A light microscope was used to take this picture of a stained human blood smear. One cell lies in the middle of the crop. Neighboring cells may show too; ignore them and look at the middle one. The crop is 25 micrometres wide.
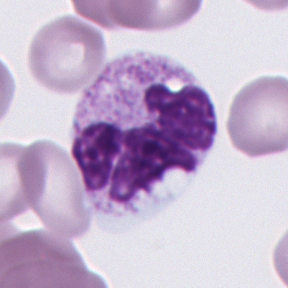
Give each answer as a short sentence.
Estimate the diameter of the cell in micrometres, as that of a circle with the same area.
The diameter of the cell comes to about 13 micrometres.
